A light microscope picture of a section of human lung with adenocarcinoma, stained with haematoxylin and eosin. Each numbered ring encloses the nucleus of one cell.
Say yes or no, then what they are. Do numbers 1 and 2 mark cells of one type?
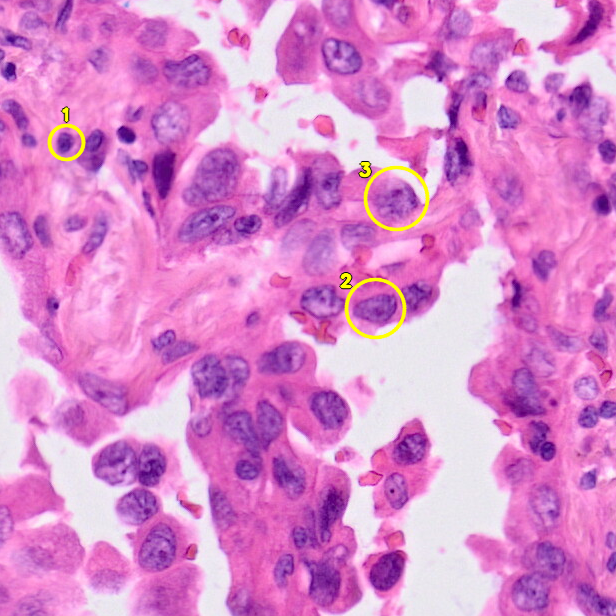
No, cell 1 is a lymphocyte and cell 2 is a carcinoma cell.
